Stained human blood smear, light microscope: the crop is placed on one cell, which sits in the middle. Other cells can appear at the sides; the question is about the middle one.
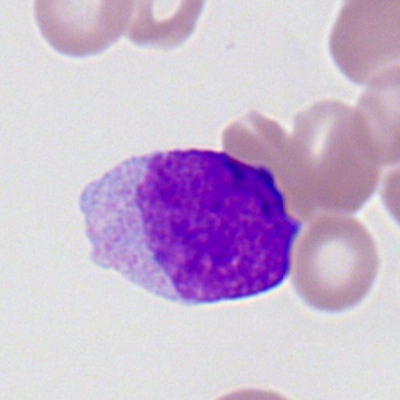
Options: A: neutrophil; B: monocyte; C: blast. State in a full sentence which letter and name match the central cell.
The central cell in this crop is a blast, corresponding to option C, the correct option.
